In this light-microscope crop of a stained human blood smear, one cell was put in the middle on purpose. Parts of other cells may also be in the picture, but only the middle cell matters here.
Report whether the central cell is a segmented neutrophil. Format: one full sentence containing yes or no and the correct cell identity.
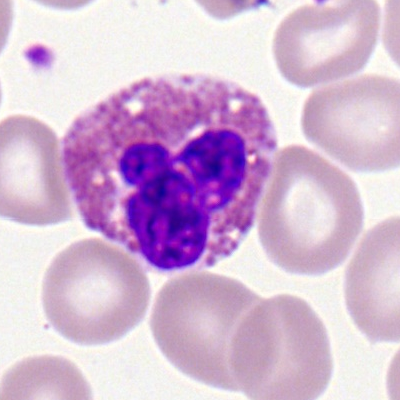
No, the centrally placed cell is an eosinophil, not a segmented neutrophil.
